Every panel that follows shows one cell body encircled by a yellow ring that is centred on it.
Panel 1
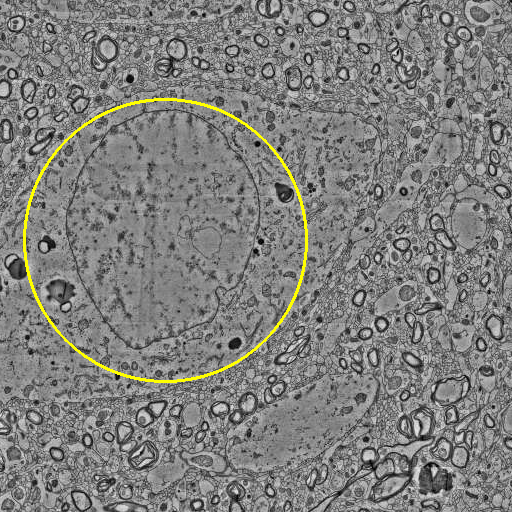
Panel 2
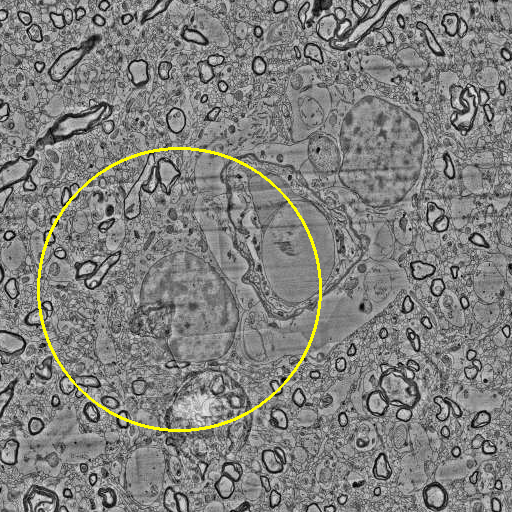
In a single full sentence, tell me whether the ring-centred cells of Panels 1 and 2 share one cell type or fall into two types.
In Panel 1 and Panel 2, the cells at the ring centres fall into two types.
